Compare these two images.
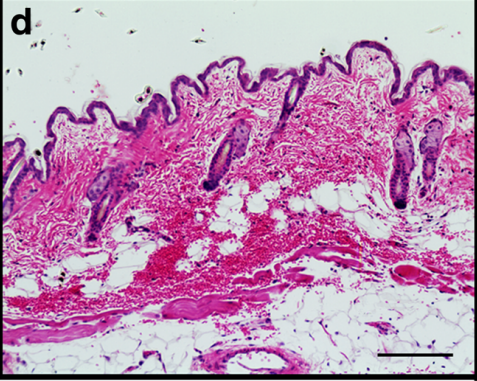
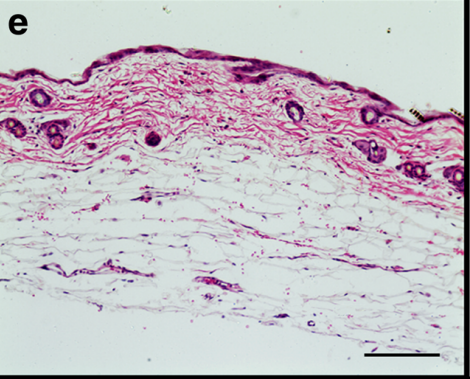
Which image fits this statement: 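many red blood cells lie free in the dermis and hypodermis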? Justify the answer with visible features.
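Second image: the dermis and the pale, loose hypodermis show no masses of free red cells. First image: bright red cells are packed densely through the lower dermis and among the fat cells. So: the first image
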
